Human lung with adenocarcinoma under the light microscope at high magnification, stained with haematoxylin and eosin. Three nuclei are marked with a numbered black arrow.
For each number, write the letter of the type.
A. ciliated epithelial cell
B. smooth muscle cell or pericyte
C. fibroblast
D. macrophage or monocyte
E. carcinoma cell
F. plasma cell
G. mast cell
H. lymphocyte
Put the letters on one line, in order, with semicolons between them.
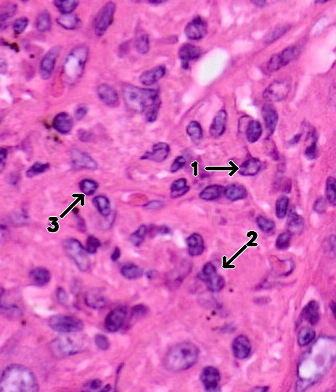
F; F; G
